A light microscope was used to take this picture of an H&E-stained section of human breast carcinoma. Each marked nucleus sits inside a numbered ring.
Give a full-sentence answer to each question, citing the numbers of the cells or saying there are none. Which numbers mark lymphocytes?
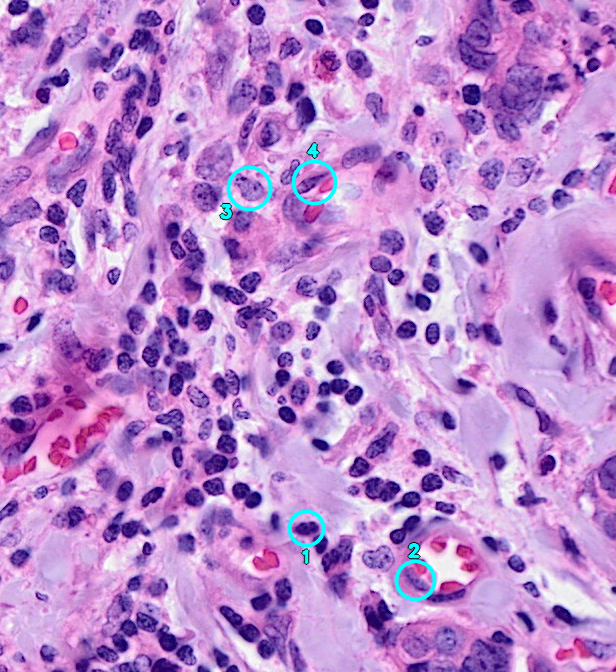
Among the marked cells, cell number 1 alone is a lymphocyte.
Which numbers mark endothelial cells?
The cells marked 2 and 4 in the section are endothelial cells.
